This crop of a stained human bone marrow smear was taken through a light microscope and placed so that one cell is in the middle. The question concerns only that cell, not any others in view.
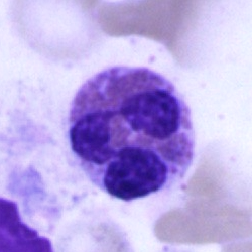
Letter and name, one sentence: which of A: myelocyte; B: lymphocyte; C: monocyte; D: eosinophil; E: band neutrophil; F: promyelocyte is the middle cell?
That middle cell is an eosinophil, and option D is therefore correct.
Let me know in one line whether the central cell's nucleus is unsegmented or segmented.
Look at the nucleus and you will find it divided into two or more lobes.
